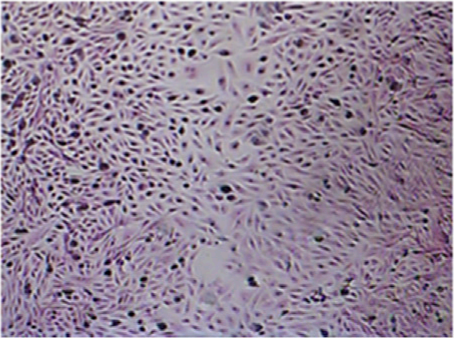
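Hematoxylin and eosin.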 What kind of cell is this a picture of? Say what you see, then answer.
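Elongated spindle-shaped cells with tapering ends.
Fibroblast.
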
